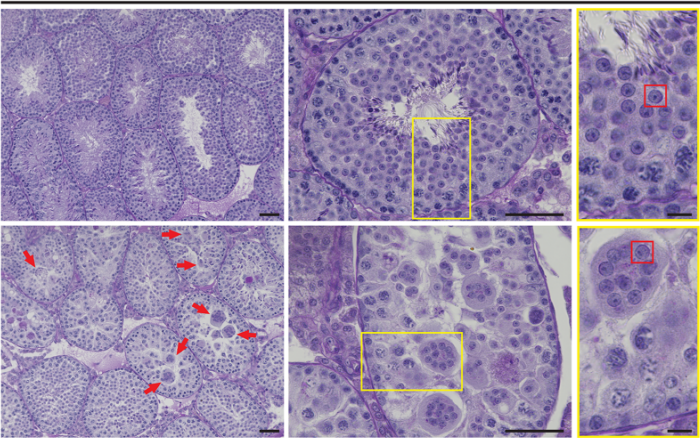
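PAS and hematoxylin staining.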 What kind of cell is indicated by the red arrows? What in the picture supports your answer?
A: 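The red arrows point to large rounded cells within the tubules. Each of these cells contains several nuclei grouped together.
Multinucleated giant cells.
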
